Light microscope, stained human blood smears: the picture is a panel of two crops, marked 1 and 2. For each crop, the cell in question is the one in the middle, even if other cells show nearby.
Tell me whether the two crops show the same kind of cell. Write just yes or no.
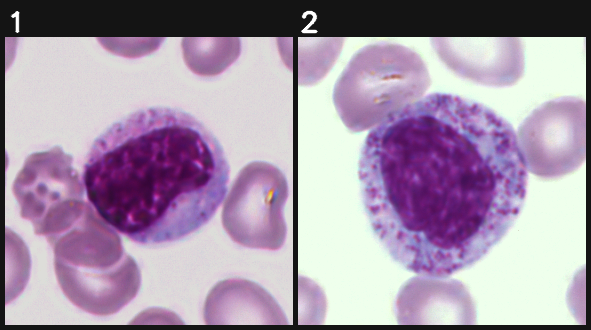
no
